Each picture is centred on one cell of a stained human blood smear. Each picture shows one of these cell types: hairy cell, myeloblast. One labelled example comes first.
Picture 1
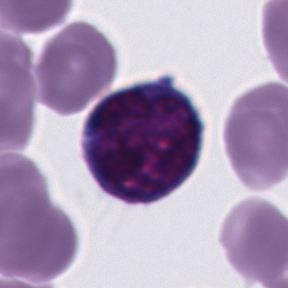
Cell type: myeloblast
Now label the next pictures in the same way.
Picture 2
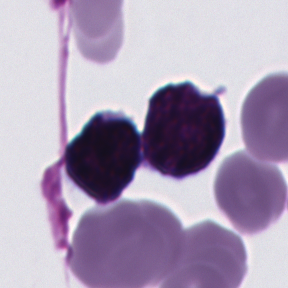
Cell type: myeloblast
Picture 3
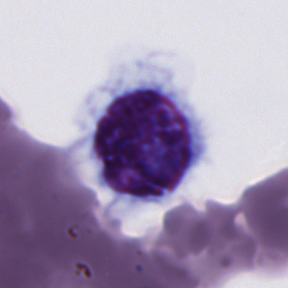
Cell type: hairy cell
